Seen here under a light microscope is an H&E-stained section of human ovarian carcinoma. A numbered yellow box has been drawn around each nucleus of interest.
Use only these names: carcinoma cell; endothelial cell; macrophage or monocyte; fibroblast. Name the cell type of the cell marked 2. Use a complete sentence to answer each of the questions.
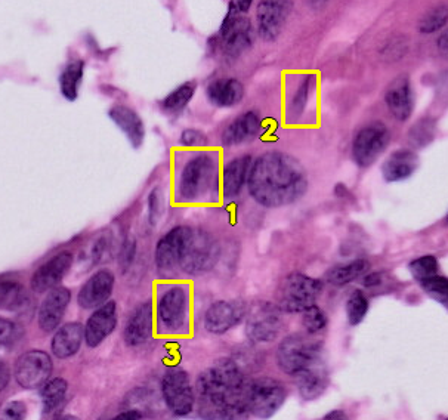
Cell 2, as marked in the section, is an endothelial cell.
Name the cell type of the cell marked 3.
Heads up, the cell numbered 3 is a carcinoma cell.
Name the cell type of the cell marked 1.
In the marked set, the cell given number 1 is a carcinoma cell.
